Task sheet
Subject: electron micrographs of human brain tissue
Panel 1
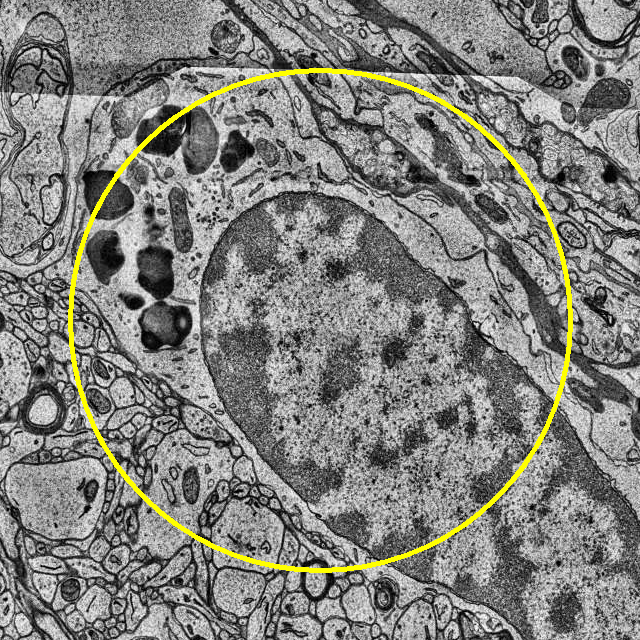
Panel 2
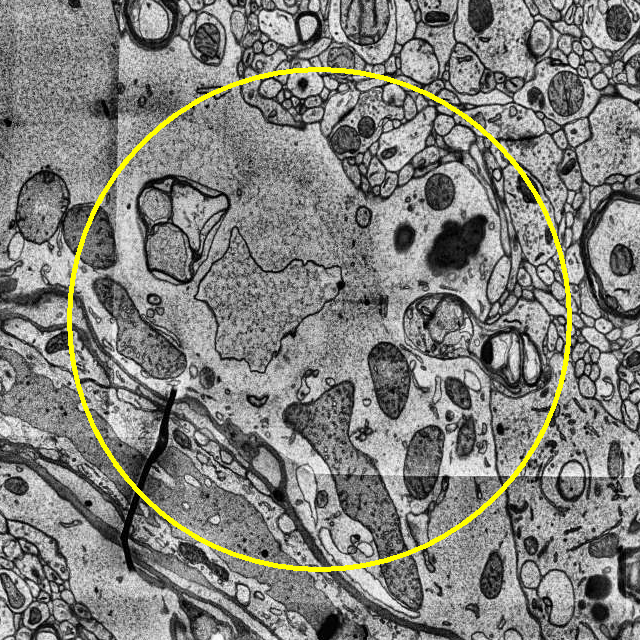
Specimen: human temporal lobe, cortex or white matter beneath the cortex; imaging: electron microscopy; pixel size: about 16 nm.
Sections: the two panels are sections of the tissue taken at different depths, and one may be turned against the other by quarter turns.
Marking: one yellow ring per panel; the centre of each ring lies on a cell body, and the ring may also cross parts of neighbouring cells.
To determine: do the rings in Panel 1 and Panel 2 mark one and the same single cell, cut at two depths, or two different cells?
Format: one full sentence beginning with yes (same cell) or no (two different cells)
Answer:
Yes, the two marked outlines come from one and the same cell.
